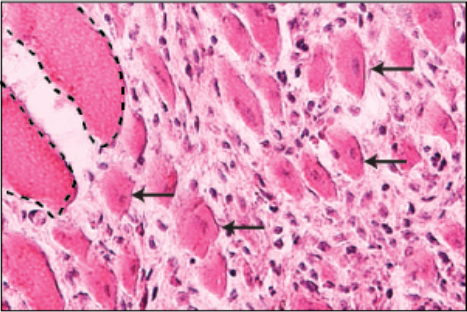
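Regenerating skeletal muscle in cross-section stained with hematoxylin and eosin. The rest of the field holds many smaller, rounded to oval pink fibre profiles of varied size, several of them marked by black arrows, some with a purple nucleus inside the fibre. Between the fibres lies loose pink-stained interstitial tissue scattered with numerous small, dark-purple, elongated or round nuclei of mononuclear cells.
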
